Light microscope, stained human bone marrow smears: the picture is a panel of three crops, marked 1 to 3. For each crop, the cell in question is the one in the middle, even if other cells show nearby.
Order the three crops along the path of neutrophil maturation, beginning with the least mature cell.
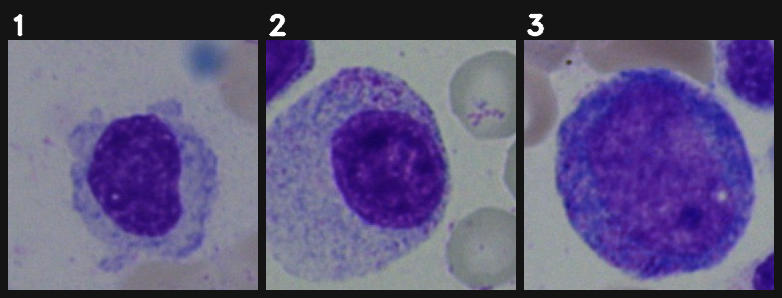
3, 2, 1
